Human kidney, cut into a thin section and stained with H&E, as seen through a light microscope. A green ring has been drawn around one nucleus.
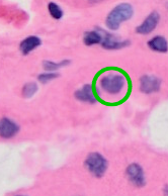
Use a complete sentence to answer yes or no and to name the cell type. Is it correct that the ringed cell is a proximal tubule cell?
No, the ringed cell is a loop of Henle or distal tubule cell rather than a proximal tubule cell.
